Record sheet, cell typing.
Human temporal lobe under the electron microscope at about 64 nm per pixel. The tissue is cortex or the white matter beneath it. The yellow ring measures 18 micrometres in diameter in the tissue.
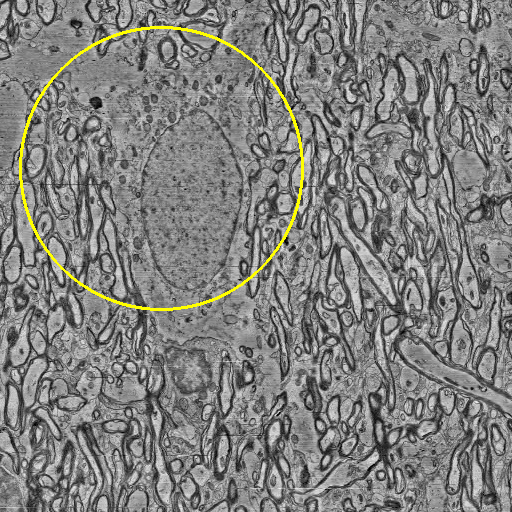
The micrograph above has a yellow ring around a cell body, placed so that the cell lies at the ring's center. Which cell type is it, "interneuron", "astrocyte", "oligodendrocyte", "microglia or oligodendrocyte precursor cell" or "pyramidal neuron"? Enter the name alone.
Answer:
astrocyte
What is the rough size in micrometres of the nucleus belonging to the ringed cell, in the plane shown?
In this plane, about 12 by 7 micrometres: the nucleus is clearly longer than it is wide.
